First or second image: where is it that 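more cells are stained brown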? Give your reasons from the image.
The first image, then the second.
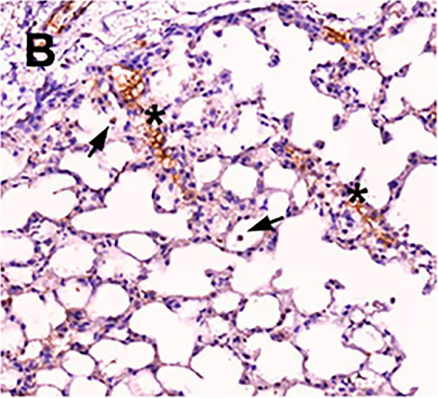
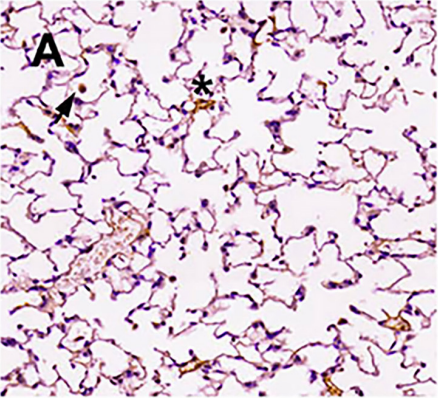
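First image: brown stain runs in broad bands along thickened septa and many cells are brown. Second image: brown stain is limited to scattered small spots in thin septa. That points to this answer: the first image.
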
